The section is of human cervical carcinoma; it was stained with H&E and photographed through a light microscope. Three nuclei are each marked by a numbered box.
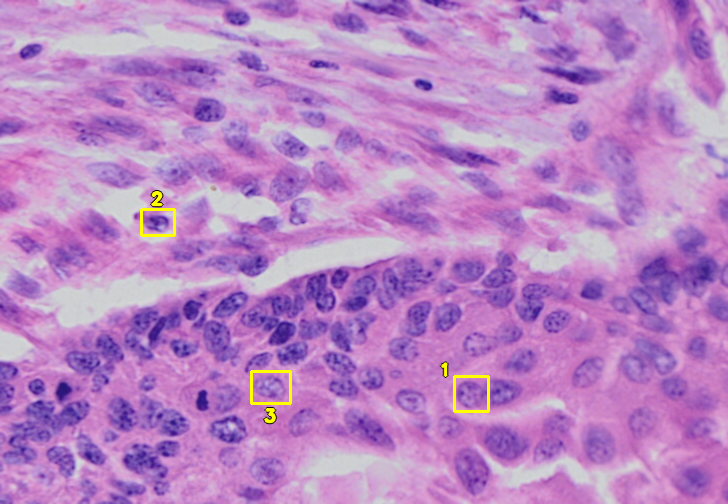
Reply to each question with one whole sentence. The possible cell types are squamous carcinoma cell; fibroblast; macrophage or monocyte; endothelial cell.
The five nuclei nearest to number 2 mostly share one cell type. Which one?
Of the five nuclei nearest to number 2, most belong to fibroblasts.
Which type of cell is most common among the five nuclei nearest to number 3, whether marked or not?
The majority of the five nuclei closest to number 3 belong to squamous carcinoma cells.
